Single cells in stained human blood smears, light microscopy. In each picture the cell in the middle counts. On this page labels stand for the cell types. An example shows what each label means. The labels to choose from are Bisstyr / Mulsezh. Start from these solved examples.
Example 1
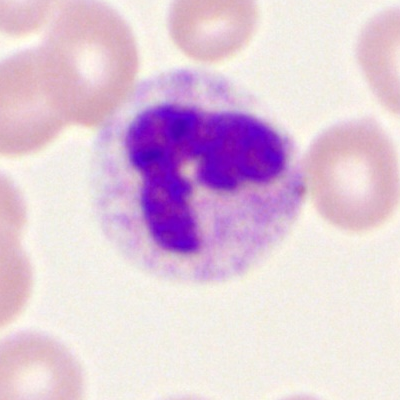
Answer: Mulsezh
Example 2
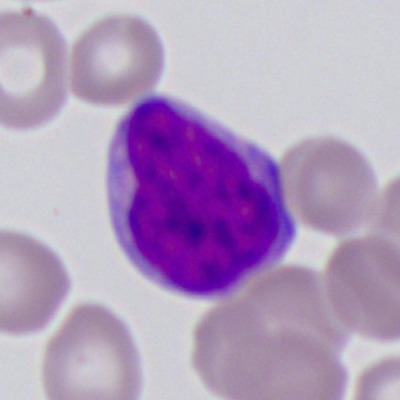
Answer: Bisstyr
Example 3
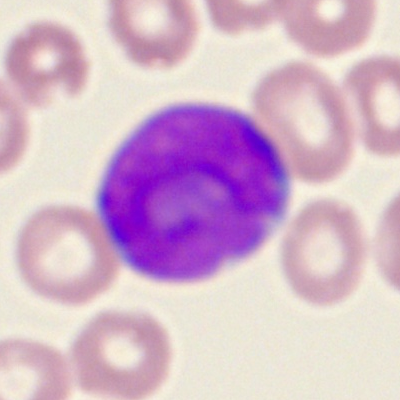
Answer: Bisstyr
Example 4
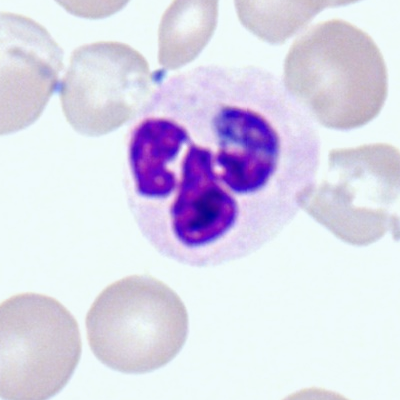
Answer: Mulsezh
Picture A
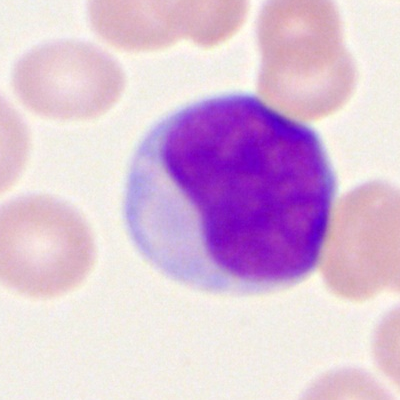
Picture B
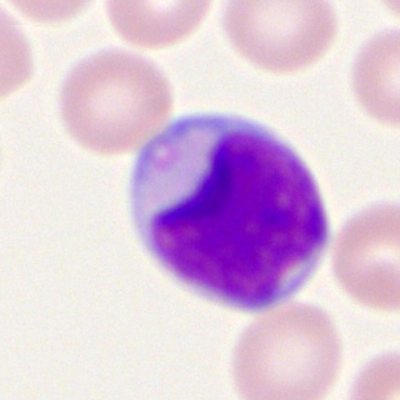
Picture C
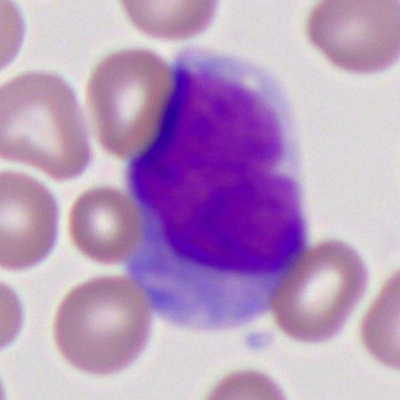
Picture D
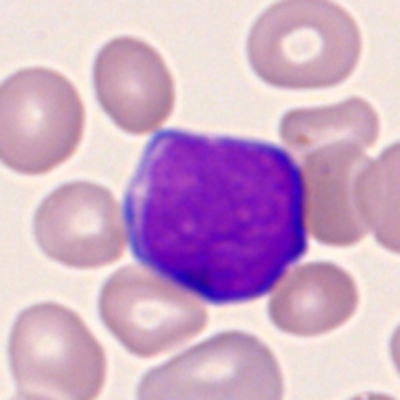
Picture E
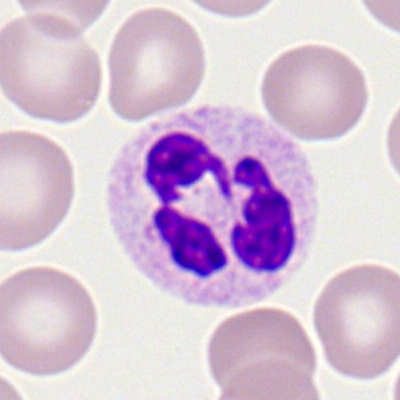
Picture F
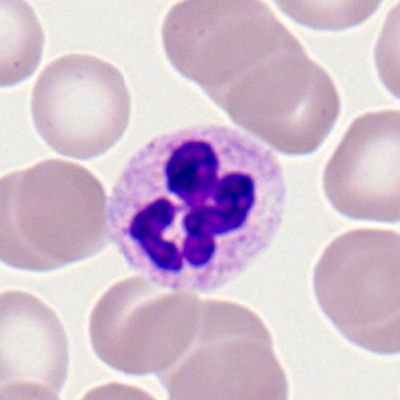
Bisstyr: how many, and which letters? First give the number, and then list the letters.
4, namely A, B, C, D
